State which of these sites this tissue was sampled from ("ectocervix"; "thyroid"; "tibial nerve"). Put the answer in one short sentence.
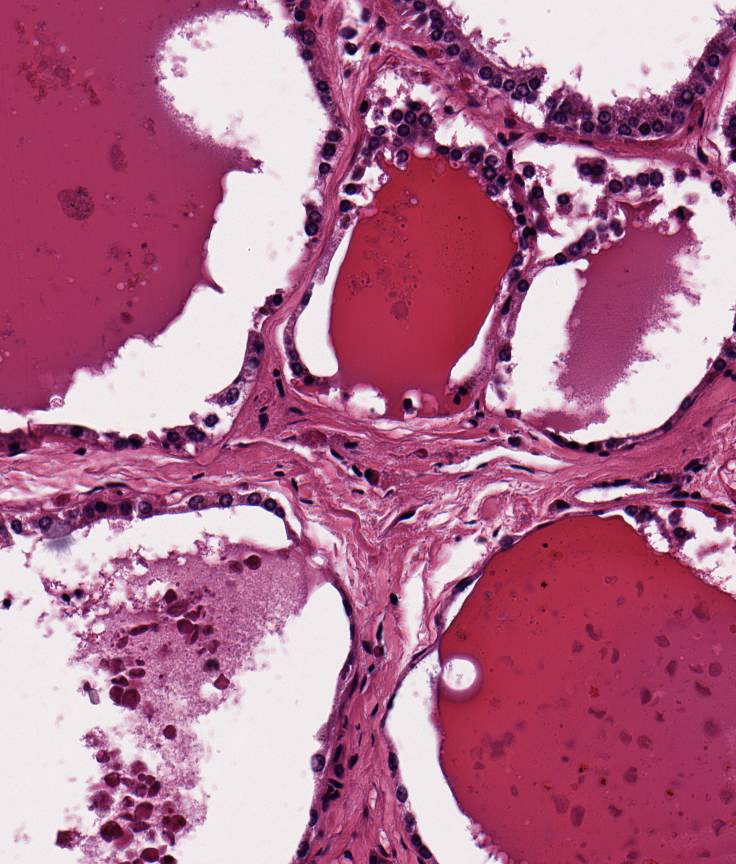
The site this tissue was sampled from is the thyroid.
